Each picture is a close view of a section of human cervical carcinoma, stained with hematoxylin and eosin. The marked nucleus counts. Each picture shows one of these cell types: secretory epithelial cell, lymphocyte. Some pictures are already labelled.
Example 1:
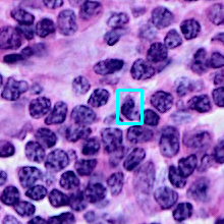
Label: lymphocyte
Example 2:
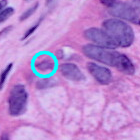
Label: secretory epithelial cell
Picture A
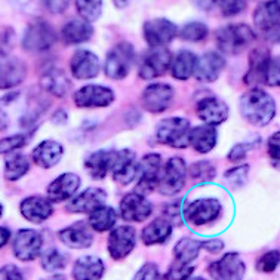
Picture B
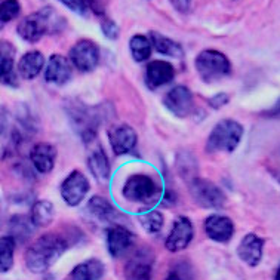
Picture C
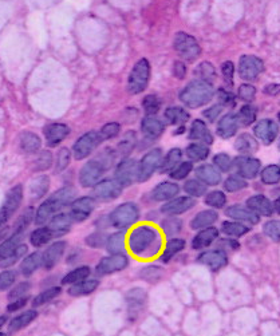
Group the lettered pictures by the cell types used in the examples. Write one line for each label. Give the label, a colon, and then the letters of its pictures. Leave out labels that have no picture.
secretory epithelial cell: C
lymphocyte: A, B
